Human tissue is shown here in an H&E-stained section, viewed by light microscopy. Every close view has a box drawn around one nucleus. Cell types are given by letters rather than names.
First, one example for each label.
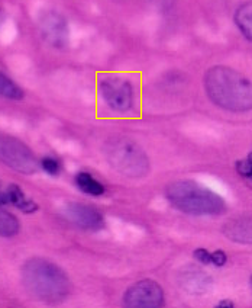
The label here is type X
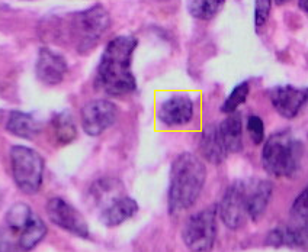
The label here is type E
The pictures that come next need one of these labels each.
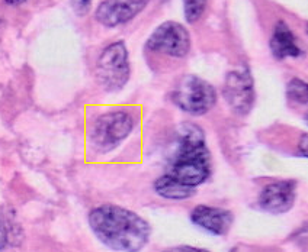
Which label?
type E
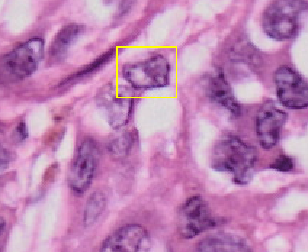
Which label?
type E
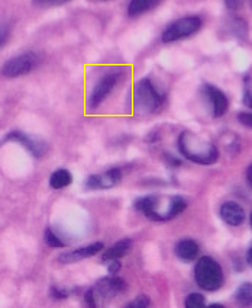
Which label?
type X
